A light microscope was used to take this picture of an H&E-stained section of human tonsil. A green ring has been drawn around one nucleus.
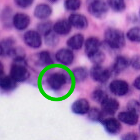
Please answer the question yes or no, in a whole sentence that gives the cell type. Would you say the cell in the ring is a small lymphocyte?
Yes, the description of the cell in the ring as a small lymphocyte is accurate.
